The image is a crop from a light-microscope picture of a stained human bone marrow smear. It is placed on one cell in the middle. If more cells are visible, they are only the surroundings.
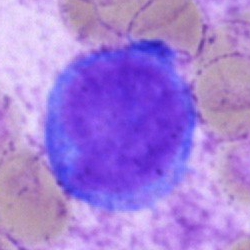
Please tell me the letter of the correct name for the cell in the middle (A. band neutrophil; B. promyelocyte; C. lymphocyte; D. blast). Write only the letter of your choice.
D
